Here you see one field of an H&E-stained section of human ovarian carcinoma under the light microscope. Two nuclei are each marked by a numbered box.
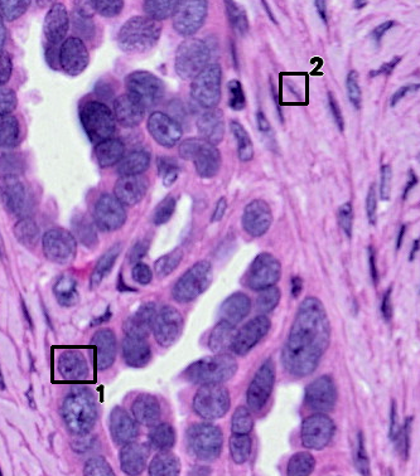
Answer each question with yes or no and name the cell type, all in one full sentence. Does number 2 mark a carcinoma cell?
No, the cell given number 2 is a fibroblast, not a carcinoma cell.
